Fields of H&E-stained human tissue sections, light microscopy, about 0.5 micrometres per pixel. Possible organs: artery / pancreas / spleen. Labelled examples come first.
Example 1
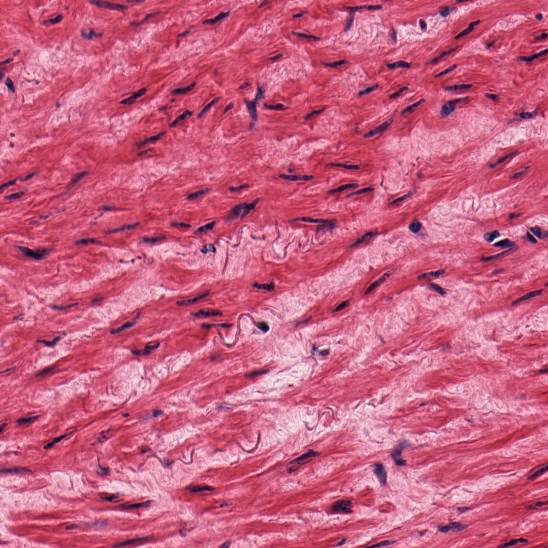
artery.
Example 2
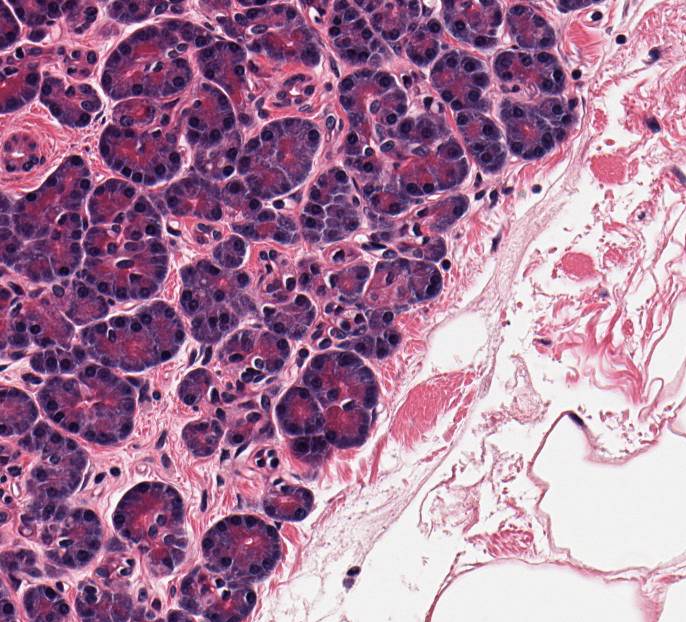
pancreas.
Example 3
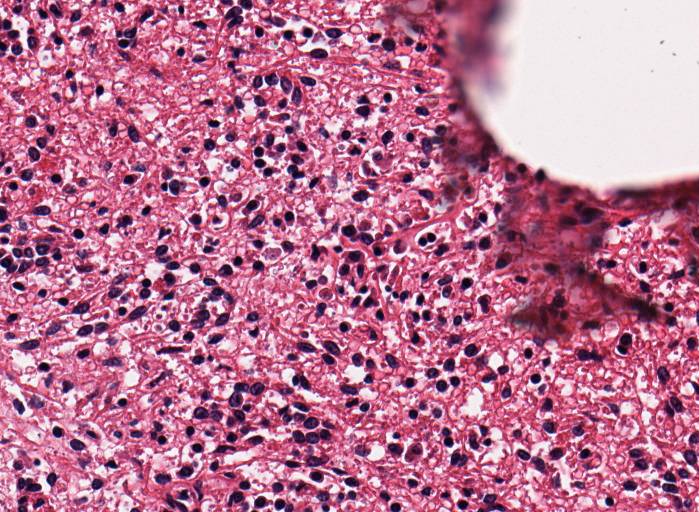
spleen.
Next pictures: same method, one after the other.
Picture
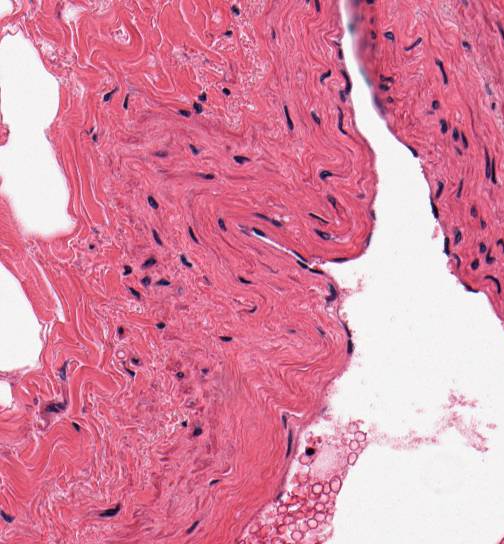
artery.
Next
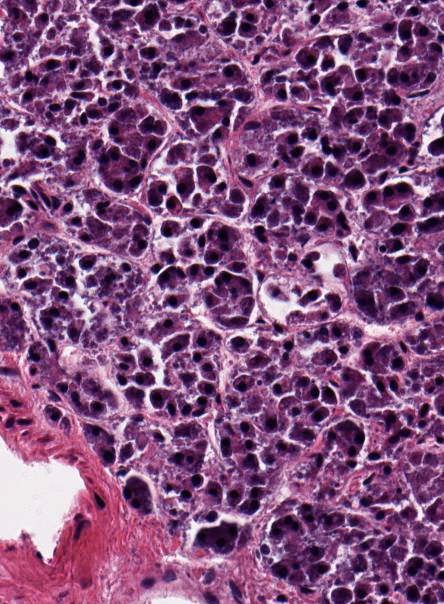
pancreas.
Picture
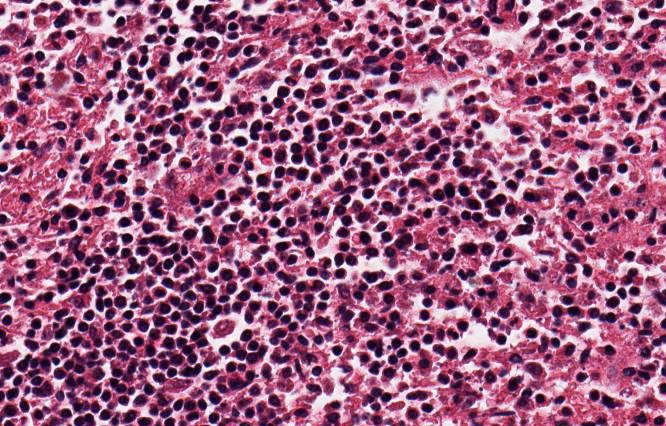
spleen.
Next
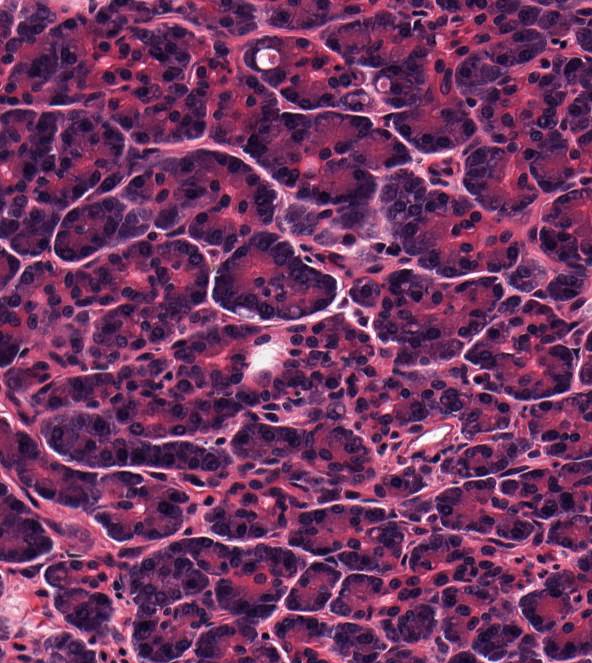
pancreas.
